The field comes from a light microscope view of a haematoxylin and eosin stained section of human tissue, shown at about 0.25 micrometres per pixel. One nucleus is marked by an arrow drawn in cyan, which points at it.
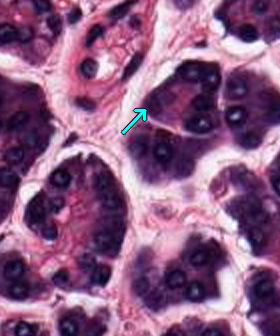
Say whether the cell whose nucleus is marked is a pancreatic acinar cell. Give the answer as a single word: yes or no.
yes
